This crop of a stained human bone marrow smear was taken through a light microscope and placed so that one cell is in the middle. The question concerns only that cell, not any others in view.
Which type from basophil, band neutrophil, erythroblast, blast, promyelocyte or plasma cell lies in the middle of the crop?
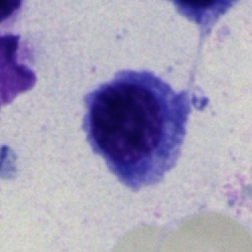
erythroblast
